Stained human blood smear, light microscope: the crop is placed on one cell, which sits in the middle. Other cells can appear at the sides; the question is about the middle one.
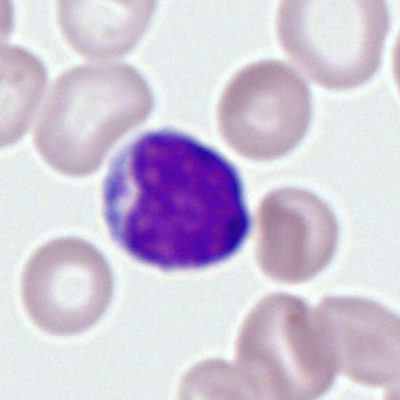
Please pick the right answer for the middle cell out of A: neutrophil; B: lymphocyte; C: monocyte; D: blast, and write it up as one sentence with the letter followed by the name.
Since the cell in the middle is a lymphocyte, option B is correct.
